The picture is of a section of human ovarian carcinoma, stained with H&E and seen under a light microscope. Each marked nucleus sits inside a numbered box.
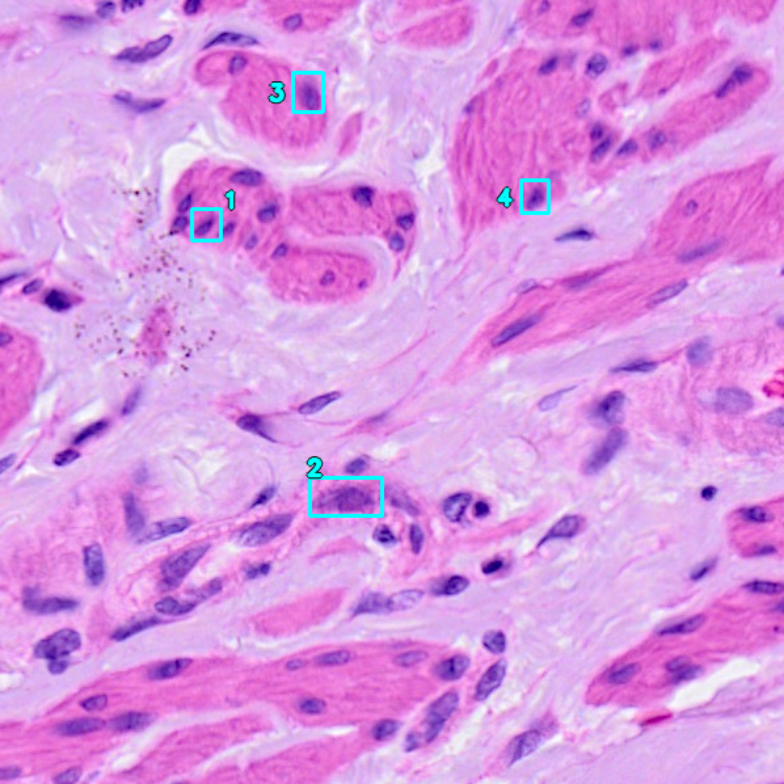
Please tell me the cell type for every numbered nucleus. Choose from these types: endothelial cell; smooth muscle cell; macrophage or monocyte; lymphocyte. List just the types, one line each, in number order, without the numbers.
smooth muscle cell
endothelial cell
smooth muscle cell
smooth muscle cell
